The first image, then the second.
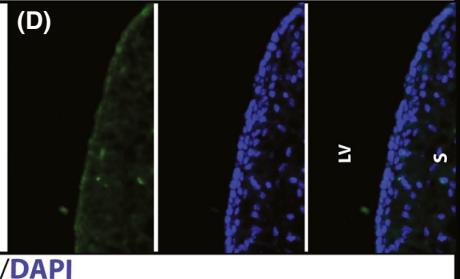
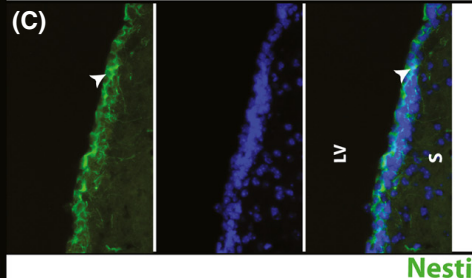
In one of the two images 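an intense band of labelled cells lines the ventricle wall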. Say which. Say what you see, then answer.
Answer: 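The second image. First image: only a faint green trace along the ventricle edge. Second image: a bright green band several cells thick along the ventricle edge.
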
